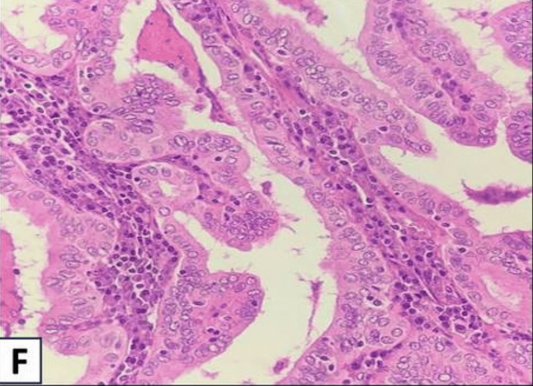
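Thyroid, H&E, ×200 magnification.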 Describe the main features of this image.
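Long finger-like fronds project into open clear spaces; each has a central core containing small dark nuclei and pink stroma, and is covered by a layer of cuboidal to columnar epithelial cells with pink cytoplasm. The epithelial nuclei are crowded and overlapping, enlarged and oval, with pale cleared centres and fine nuclear membranes, markedly larger and paler than the nuclei within the cores. Pink homogeneous material lies in some of the spaces between fronds.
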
